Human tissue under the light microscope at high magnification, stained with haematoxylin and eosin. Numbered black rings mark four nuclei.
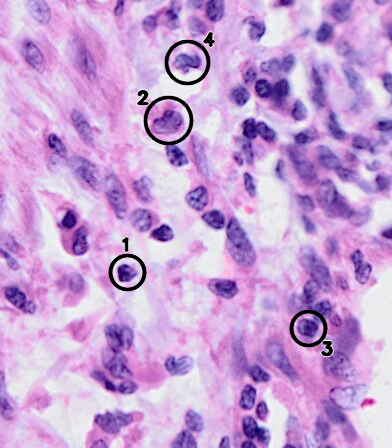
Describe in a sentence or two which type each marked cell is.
Cells 1, 3 and 4 are lymphocytes. Cell 2 is a macrophage or monocyte.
